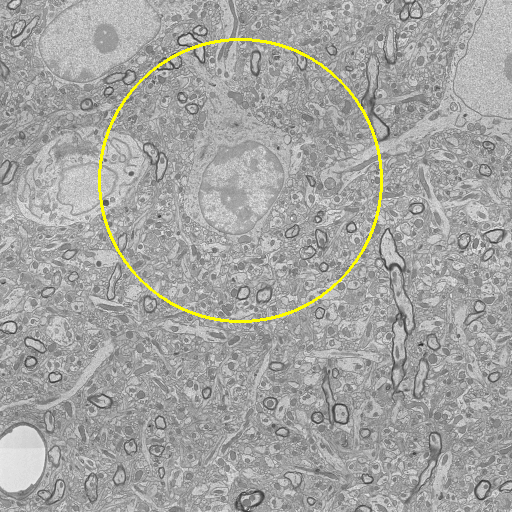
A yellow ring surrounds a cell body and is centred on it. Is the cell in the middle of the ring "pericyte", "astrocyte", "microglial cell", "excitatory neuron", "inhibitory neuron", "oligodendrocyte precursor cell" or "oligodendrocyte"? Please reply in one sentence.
The ring is centred on an oligodendrocyte.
